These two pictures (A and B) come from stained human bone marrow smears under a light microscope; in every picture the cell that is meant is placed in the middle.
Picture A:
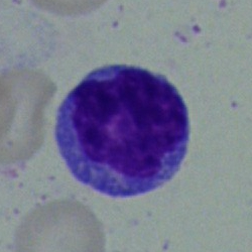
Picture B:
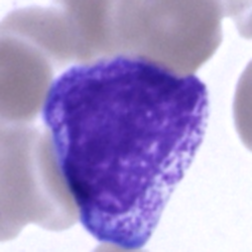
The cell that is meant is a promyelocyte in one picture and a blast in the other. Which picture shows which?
A: blast
B: promyelocyte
